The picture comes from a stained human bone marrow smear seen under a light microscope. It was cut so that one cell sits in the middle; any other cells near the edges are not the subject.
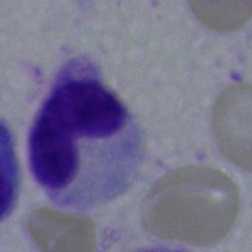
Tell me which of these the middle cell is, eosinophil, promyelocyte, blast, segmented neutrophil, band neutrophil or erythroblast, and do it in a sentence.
The cell positioned in the middle of the field is a band neutrophil.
